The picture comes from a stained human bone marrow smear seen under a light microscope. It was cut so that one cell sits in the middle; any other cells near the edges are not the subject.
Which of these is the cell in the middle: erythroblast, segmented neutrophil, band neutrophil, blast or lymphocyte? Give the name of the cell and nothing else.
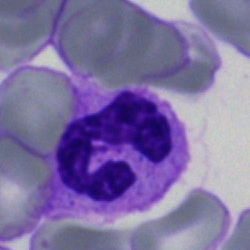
segmented neutrophil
